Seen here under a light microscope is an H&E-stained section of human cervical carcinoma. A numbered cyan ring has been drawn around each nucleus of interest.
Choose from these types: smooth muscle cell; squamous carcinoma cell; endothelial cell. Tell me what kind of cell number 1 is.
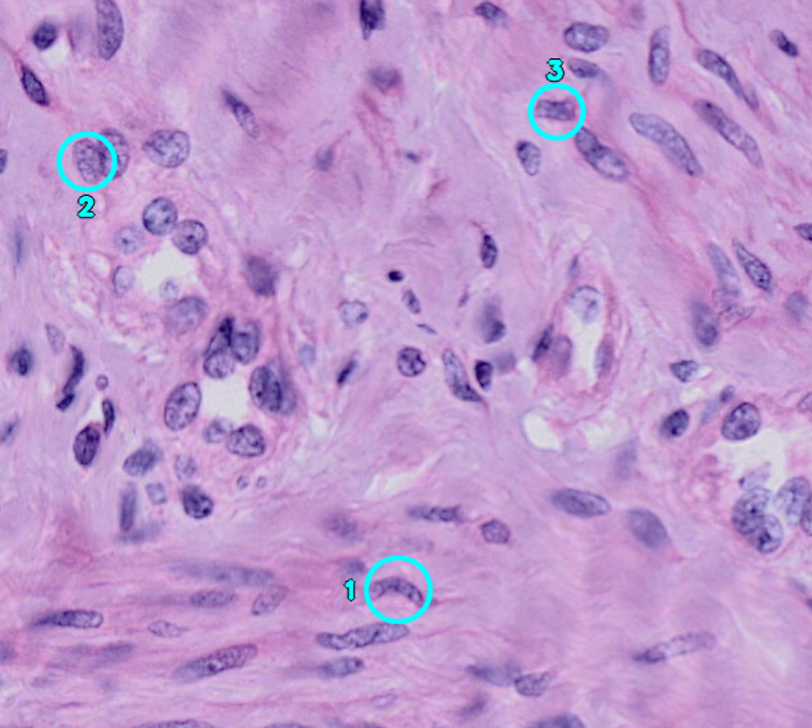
smooth muscle cell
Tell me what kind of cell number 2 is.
endothelial cell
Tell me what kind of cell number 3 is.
smooth muscle cell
